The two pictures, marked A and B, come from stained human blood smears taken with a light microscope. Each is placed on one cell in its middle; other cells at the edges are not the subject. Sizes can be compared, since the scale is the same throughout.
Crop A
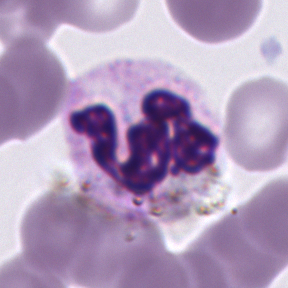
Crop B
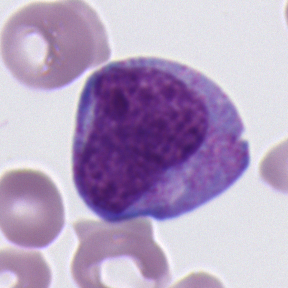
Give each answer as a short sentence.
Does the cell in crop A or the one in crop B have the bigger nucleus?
It is the nucleus in crop B, about 1.5 times as large in area as the one in crop A.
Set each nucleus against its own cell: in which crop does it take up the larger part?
It is the cell in crop B that is filled more by its nucleus.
